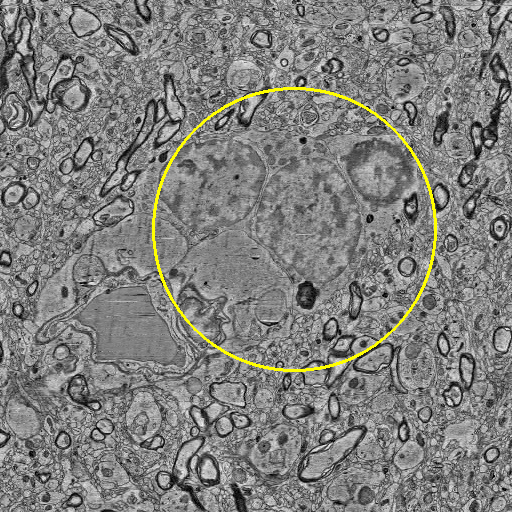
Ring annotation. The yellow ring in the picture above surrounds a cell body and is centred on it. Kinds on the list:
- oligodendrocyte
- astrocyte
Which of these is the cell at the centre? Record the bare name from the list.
oligodendrocyte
